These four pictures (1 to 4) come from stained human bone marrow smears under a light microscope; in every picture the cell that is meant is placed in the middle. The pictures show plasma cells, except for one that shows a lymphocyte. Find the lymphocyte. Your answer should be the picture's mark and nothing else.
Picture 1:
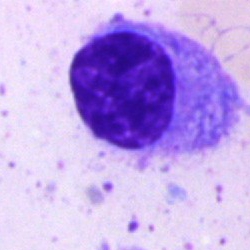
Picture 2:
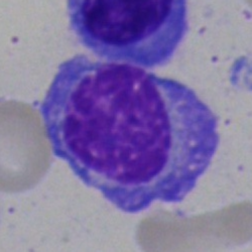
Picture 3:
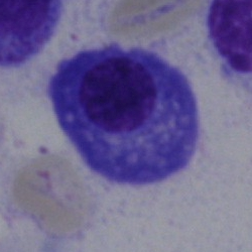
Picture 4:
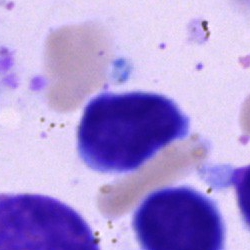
4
